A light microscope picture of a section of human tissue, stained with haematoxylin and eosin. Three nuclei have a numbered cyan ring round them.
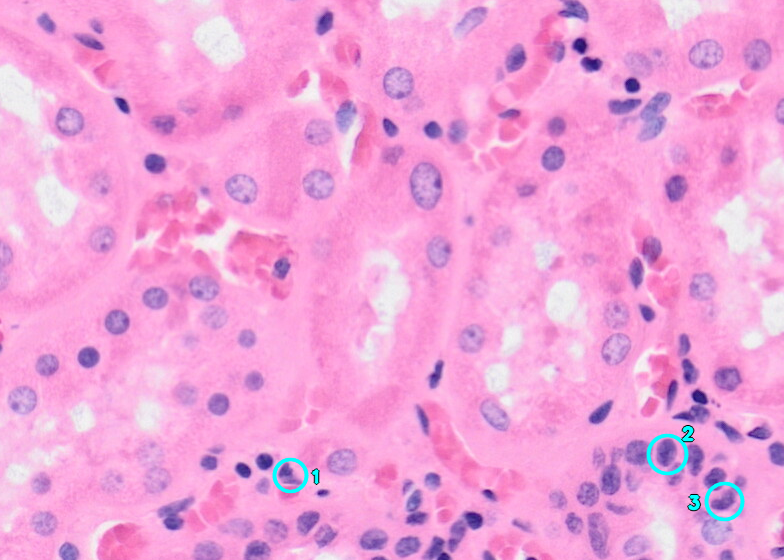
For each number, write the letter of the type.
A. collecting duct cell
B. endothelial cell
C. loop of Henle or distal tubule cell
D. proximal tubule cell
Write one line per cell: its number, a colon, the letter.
1: B
2: A
3: A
